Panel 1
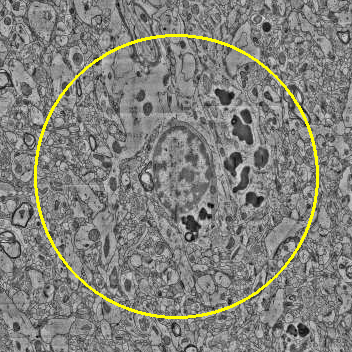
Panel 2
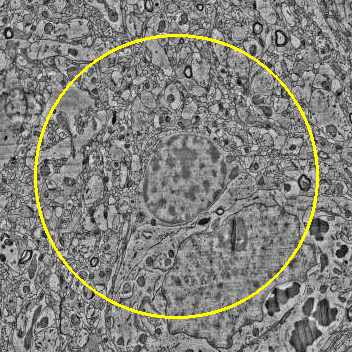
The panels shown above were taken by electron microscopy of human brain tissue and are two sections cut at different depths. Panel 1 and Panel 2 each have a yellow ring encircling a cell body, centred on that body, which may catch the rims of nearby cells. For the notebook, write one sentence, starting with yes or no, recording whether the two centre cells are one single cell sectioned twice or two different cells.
No, the cell in one ring is not the cell in the other.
